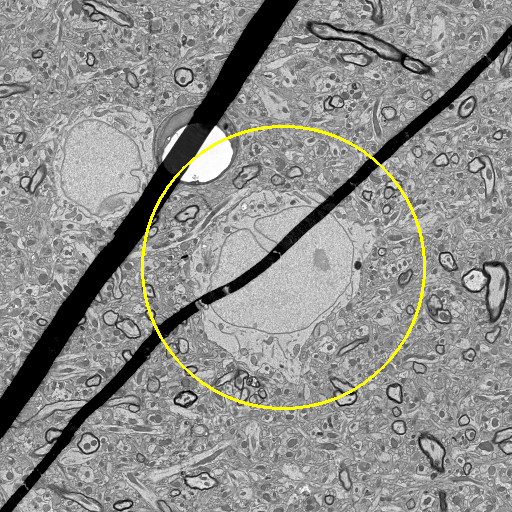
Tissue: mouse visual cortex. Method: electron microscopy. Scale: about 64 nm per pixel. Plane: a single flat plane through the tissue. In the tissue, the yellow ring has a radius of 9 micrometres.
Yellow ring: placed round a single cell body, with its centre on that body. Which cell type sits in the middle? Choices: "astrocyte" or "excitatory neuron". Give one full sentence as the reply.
It is an excitatory neuron whose cell body sits at the centre of the yellow ring.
